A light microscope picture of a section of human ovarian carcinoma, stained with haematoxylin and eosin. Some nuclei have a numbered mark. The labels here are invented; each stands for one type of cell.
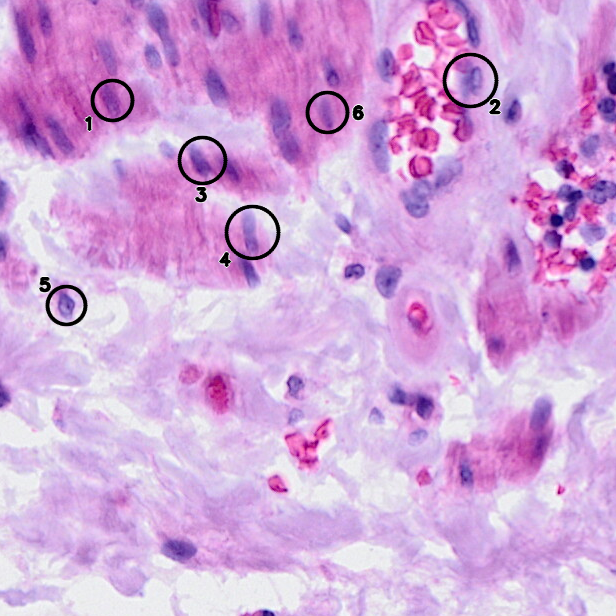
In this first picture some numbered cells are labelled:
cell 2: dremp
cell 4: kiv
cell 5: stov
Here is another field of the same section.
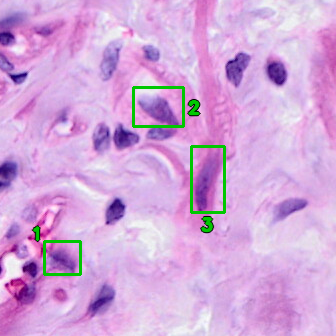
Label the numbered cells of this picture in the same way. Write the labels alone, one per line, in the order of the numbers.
dremp
dremp
kiv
